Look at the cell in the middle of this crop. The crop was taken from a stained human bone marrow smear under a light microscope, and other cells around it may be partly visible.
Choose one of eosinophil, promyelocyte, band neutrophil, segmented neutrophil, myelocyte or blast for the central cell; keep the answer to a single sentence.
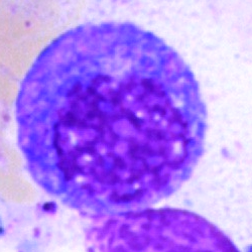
The cell of interest, in the center, is a promyelocyte.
